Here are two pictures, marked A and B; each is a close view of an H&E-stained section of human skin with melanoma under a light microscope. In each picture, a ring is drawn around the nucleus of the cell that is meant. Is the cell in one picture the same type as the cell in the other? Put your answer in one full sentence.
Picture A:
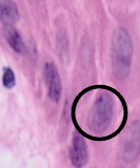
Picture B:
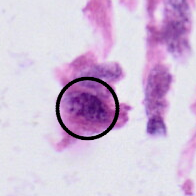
No; the cell in picture A is a keratinocyte, while the one in picture B is a melanoma cell.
